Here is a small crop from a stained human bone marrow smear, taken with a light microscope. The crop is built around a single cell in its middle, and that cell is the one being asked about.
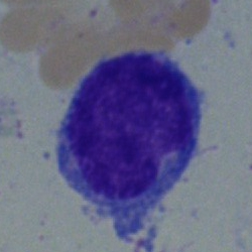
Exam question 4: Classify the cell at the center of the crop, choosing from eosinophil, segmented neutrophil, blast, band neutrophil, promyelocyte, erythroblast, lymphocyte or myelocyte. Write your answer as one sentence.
The middle cell in this particular crop is a blast.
